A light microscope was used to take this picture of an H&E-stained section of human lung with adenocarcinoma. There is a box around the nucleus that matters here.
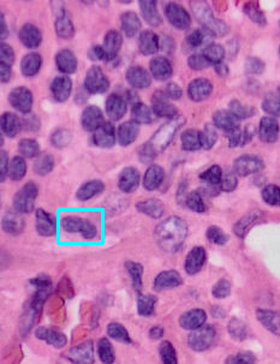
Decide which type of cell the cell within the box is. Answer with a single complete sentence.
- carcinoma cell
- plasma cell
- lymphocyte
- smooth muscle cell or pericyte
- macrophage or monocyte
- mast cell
Considered by cell type, the cell within the box is a lymphocyte.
